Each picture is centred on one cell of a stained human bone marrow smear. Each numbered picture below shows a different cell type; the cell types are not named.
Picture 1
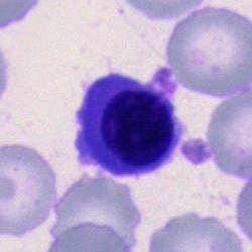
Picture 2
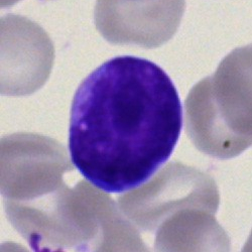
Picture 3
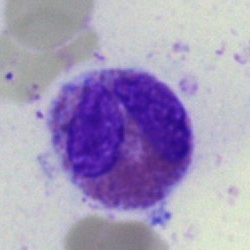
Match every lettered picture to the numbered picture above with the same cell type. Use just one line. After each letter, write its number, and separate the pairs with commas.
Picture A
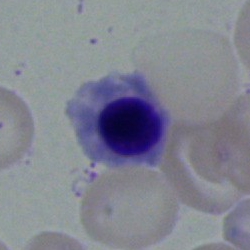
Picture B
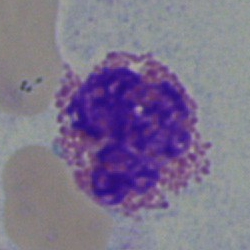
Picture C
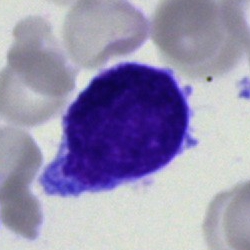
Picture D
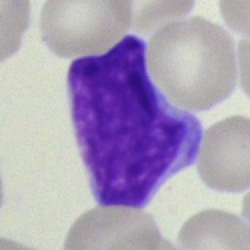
A 1, B 3, C 2, D 2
